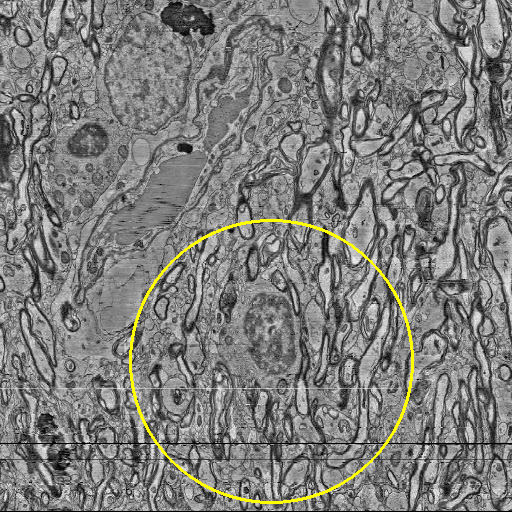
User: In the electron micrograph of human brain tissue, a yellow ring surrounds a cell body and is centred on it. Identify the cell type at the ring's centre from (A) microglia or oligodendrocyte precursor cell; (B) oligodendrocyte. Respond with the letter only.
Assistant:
B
